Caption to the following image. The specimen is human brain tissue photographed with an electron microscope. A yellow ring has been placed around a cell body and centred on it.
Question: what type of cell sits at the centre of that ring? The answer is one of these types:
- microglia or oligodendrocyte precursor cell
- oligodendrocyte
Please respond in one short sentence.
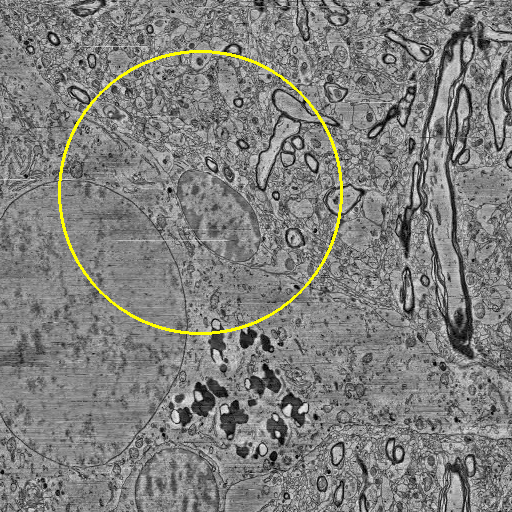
The ring surrounds the cell body of a microglial cell or oligodendrocyte precursor cell.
